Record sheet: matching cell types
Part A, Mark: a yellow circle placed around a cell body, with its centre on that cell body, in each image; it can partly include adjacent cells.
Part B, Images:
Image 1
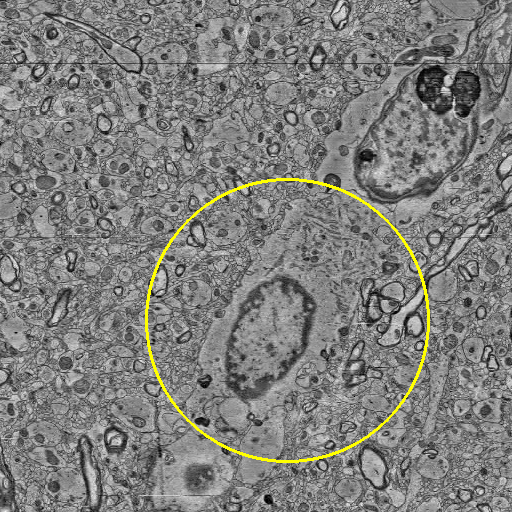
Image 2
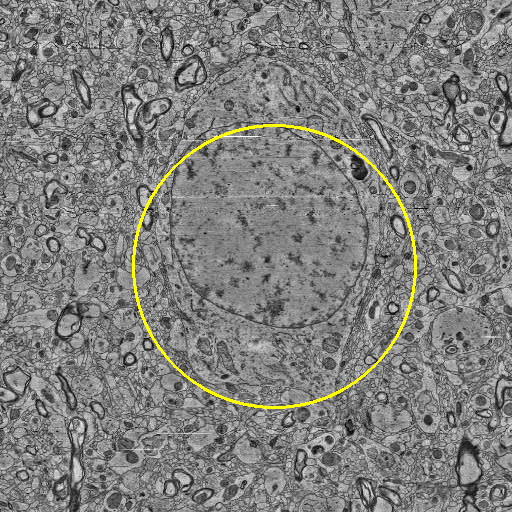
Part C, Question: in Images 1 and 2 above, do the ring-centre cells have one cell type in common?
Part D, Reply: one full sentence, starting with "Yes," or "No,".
No, the ring-centre cells of Image 1 and Image 2 are each of a separate cell type.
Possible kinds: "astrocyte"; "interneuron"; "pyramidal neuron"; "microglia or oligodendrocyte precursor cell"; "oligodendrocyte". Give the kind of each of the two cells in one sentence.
The cell in the second picture is a pyramidal neuron, and that in the first is a microglial cell or oligodendrocyte precursor cell.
